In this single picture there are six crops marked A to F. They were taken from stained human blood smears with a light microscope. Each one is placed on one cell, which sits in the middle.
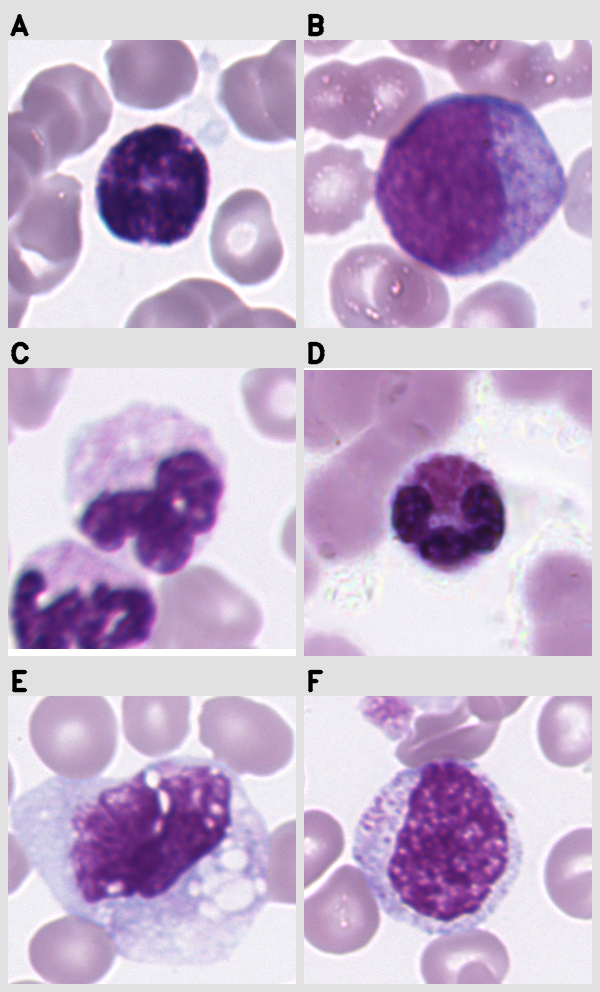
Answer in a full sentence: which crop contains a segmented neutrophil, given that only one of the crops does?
The one showing a segmented neutrophil is crop C.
